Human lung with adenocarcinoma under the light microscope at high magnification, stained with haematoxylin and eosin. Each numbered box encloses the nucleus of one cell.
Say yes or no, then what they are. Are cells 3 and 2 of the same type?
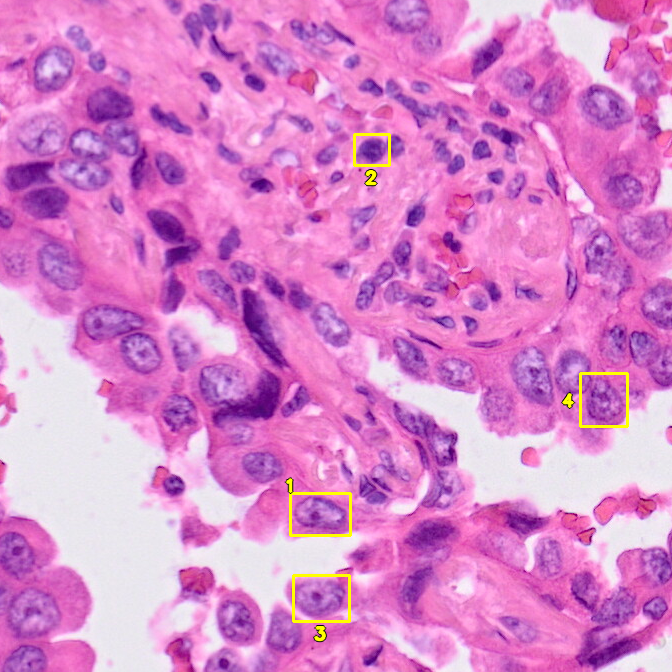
No, the cell bearing number 3 is a carcinoma cell, while the one bearing number 2 is a lymphocyte.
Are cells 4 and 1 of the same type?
Yes, for cells 4 and 1 alike, the identity is that of carcinoma cells.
